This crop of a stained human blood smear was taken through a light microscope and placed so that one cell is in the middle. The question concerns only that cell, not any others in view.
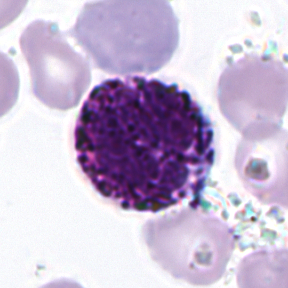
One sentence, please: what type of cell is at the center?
Answering briefly, the cell in the middle is a basophil.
